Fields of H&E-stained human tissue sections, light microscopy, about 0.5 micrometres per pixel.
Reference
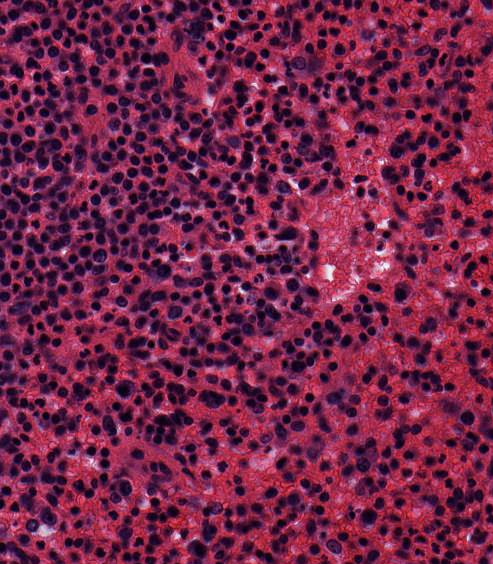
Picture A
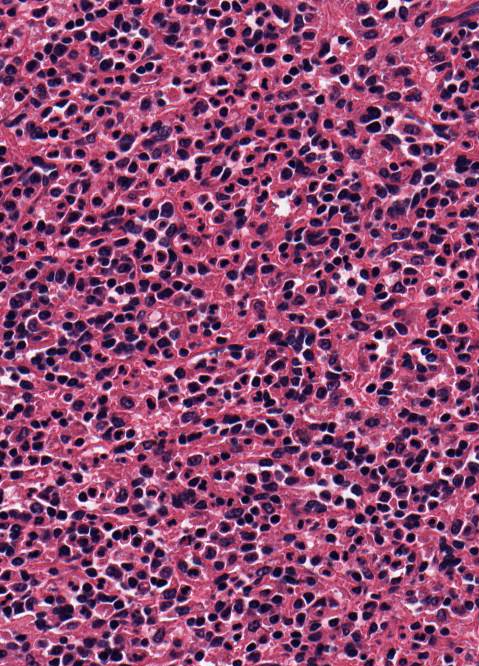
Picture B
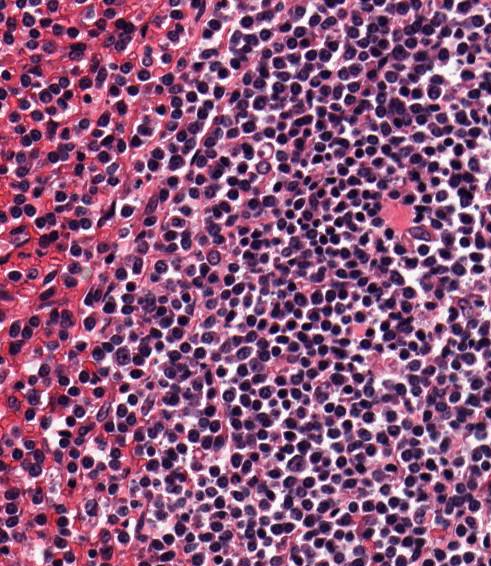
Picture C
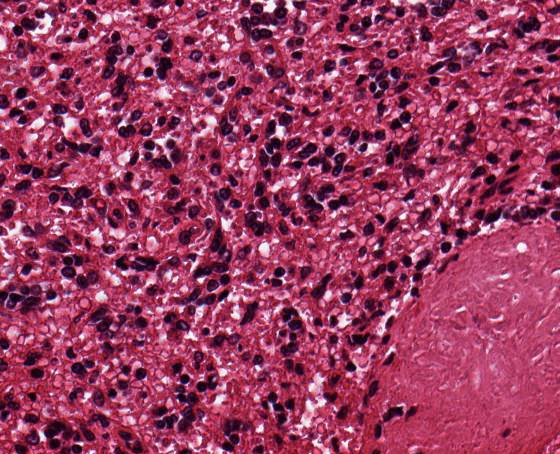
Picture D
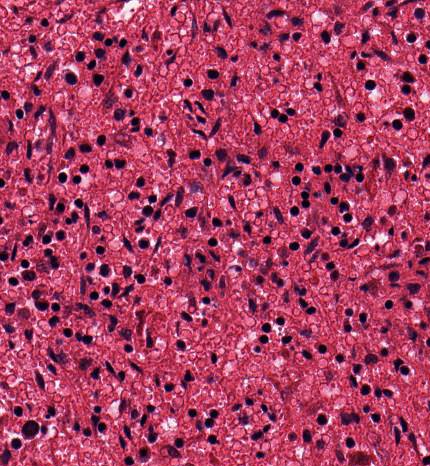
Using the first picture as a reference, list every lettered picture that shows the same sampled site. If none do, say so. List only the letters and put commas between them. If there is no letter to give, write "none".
A, B, C, D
